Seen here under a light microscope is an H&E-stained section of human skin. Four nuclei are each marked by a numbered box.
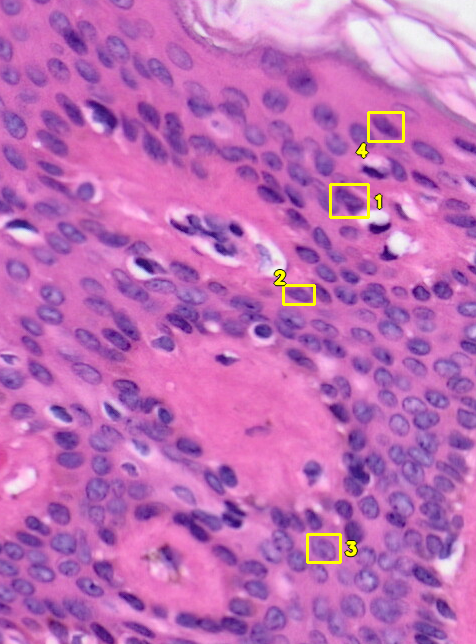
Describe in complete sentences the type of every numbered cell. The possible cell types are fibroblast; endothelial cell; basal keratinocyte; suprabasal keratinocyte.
Cells 1, 2 and 3 are basal keratinocytes. Cell 4 is a suprabasal keratinocyte.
